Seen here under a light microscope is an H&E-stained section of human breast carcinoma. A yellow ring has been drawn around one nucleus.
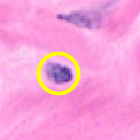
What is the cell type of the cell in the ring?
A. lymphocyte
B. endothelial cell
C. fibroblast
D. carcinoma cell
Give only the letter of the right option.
A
